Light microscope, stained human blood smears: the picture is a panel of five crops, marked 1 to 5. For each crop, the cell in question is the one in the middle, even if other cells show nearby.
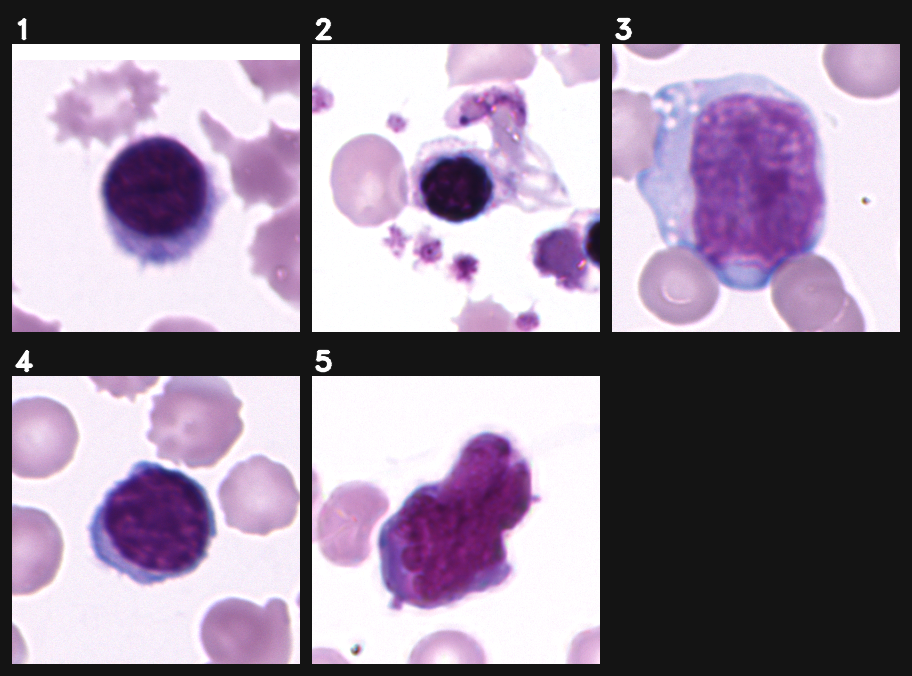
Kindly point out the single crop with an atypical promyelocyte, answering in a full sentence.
The cell identified as an atypical promyelocyte is the one in crop 5.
